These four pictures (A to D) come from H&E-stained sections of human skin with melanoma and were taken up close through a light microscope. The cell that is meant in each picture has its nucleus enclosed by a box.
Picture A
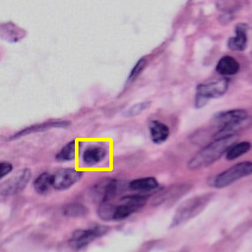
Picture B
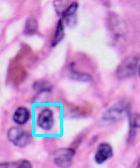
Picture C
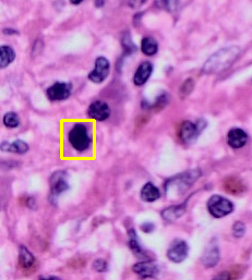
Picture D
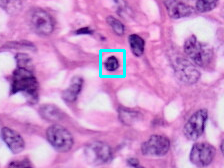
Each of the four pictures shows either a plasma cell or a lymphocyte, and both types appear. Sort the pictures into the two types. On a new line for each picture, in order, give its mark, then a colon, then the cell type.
A: lymphocyte
B: lymphocyte
C: plasma cell
D: lymphocyte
